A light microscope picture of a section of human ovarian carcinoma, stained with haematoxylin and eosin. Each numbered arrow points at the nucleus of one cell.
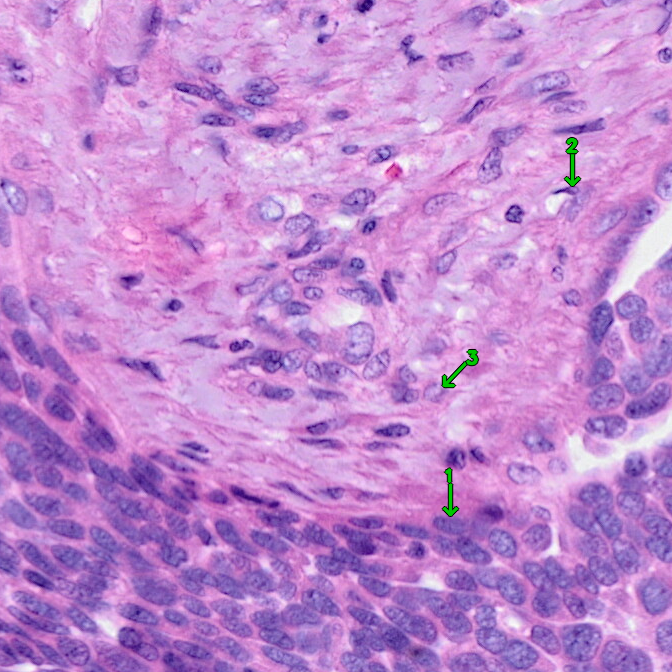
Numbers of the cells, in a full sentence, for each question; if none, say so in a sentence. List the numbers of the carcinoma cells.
Of all the numbered cells, only cell 1 is a carcinoma cell.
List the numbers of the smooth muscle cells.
Found among the numbered cells are no smooth muscle cells.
